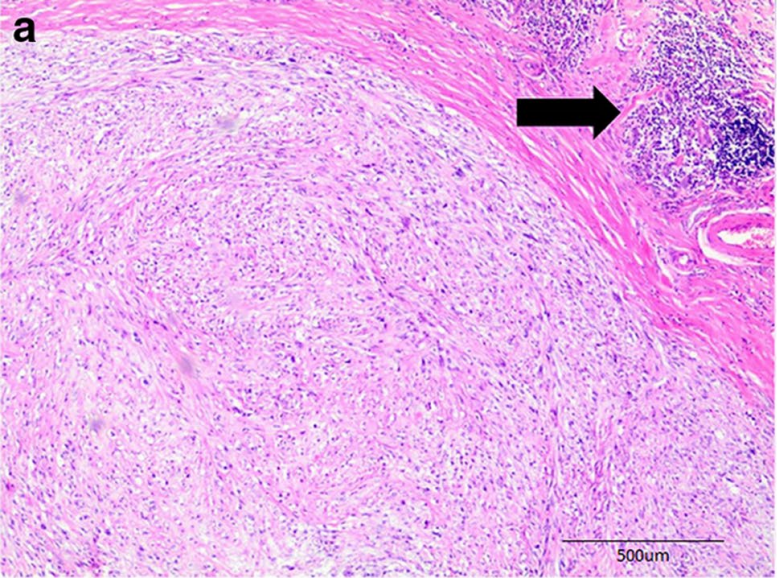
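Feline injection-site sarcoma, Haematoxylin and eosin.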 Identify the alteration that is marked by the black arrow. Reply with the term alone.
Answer: An inflammatory response.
